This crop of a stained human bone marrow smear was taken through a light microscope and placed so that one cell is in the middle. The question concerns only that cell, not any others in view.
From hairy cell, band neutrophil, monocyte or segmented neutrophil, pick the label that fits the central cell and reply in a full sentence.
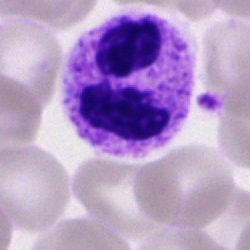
At the center of the crop sits a segmented neutrophil.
